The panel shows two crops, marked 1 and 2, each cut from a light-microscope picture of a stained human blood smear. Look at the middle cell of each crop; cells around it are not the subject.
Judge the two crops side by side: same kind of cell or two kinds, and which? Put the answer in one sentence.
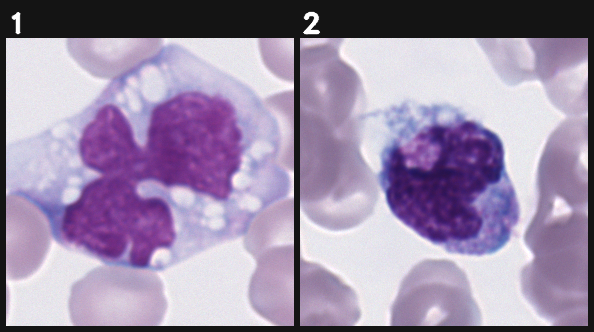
Yes, in short, both crops show monocytes.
